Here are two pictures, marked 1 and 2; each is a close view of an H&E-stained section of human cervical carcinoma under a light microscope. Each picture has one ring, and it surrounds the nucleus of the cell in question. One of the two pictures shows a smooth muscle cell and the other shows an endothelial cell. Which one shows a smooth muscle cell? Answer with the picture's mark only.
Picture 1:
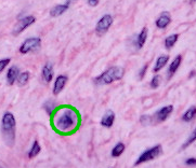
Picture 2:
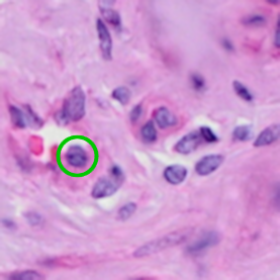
1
